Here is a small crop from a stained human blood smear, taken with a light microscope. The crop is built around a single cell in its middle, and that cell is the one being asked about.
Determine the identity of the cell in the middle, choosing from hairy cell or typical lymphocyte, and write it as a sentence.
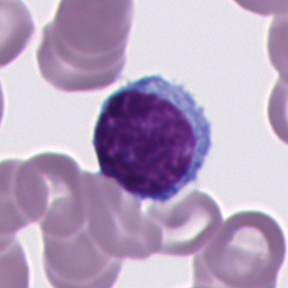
Occupying the centre of the crop is a typical lymphocyte.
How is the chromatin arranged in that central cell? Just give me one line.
The chromatin pattern here is coarse and clumped.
